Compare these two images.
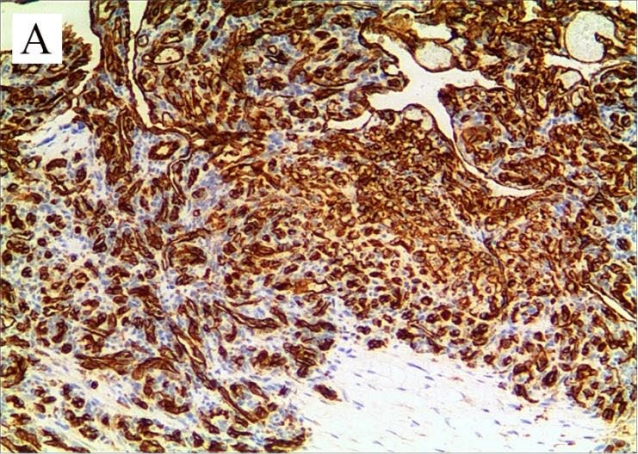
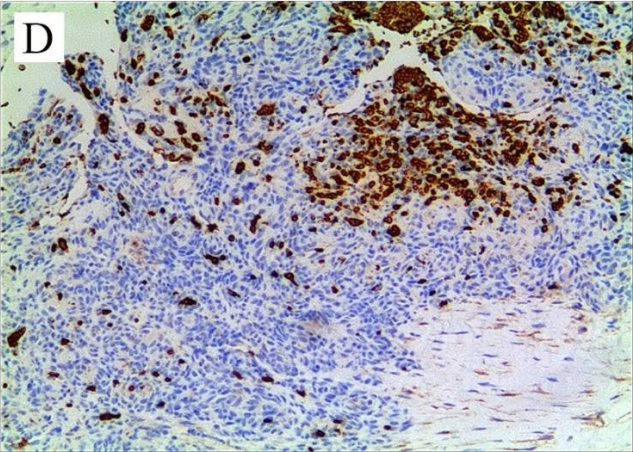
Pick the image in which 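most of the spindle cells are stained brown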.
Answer: The first image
